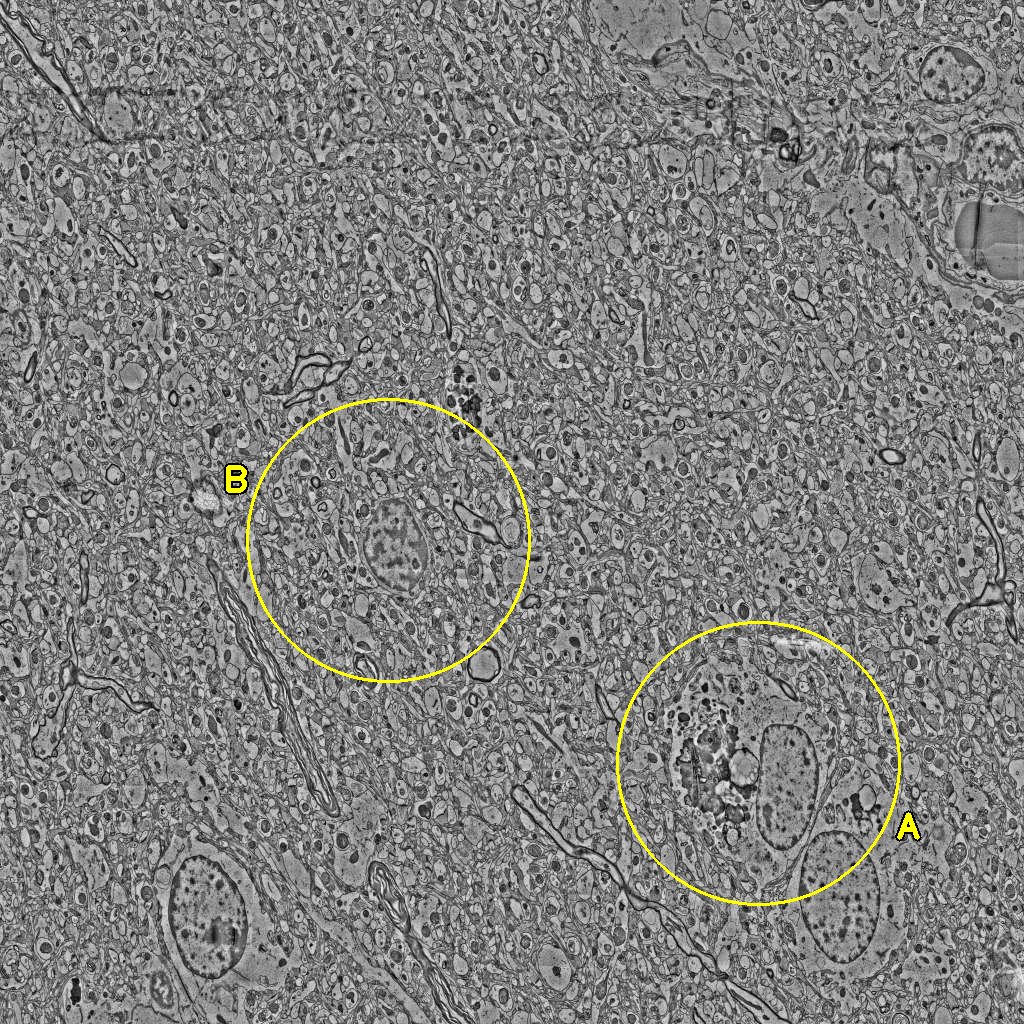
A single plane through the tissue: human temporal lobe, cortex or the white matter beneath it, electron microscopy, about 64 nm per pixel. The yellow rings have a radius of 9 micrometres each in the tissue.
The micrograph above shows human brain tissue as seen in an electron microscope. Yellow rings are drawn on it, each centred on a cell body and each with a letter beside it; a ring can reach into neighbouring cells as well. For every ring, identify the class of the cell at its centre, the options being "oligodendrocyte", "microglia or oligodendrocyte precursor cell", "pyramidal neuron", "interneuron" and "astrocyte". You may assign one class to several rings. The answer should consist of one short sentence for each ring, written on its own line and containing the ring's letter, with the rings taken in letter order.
The ring lettered A is centred on an astrocyte.
The ring lettered B is centred on an oligodendrocyte.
